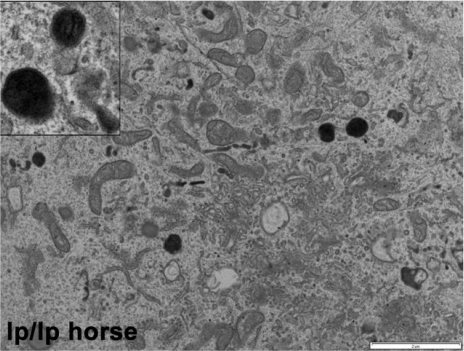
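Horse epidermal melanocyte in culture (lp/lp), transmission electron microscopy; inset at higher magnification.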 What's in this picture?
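Numerous mitochondria with visible cristae appear as oval and curved profiles, together with small clear vacuoles. Scattered through the cytoplasm are round, intensely electron-dense granules, the melanosomes. Small dark linear deposits also lie among the organelles in the centre of the field.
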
